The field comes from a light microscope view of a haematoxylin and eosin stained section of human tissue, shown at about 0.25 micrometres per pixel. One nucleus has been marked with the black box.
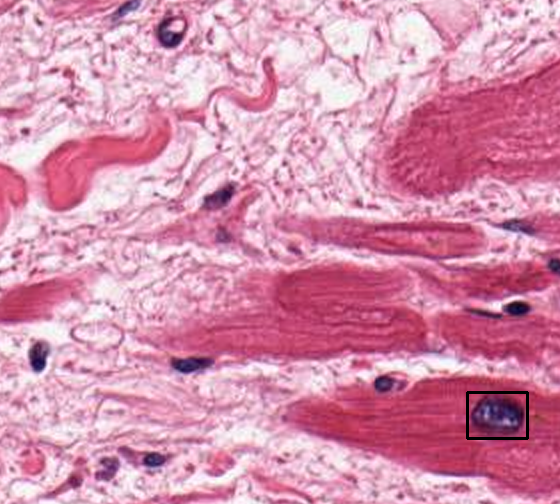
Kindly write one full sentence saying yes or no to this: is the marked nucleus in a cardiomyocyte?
Yes, the cell containing the marked nucleus is a cardiomyocyte.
